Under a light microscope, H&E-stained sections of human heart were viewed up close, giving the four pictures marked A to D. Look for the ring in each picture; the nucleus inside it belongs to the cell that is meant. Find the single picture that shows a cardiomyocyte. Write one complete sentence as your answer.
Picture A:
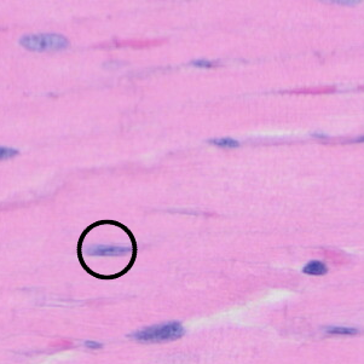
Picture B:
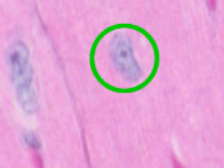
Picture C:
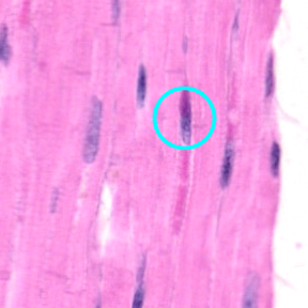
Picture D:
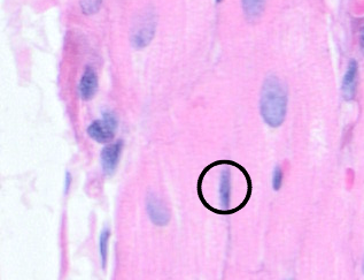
Picture B is the one that shows the cardiomyocyte.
